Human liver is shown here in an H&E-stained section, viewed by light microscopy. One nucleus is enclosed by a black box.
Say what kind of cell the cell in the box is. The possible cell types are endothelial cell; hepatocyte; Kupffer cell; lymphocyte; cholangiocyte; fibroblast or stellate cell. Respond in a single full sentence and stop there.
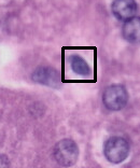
Cell type answer for this item: the cell in the box is a lymphocyte.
